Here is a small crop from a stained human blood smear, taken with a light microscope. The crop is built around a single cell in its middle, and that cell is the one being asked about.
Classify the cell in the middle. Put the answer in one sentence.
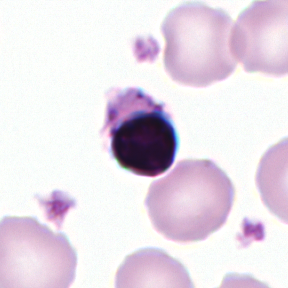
The centered cell in this crop is a normoblast.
